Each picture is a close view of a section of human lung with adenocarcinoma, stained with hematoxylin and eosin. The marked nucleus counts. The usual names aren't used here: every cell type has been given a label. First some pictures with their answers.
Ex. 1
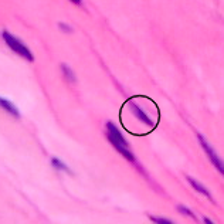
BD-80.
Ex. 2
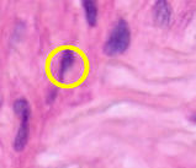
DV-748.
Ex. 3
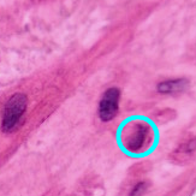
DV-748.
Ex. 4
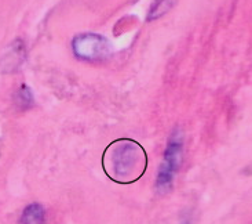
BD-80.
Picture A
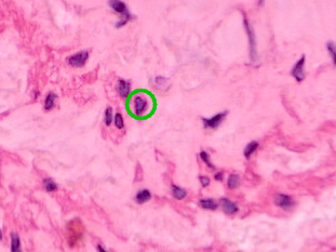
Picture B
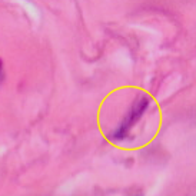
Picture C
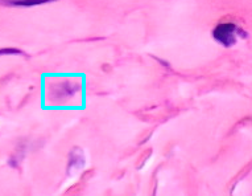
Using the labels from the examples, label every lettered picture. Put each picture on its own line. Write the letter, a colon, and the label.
A: DV-748.
B: BD-80.
C: BD-80.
